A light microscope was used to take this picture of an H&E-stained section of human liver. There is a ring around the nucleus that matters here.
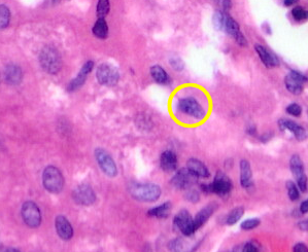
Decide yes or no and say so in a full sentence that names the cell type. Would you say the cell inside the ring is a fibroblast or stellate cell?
Yes, the cell inside the ring in this section represents a fibroblast or stellate cell.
